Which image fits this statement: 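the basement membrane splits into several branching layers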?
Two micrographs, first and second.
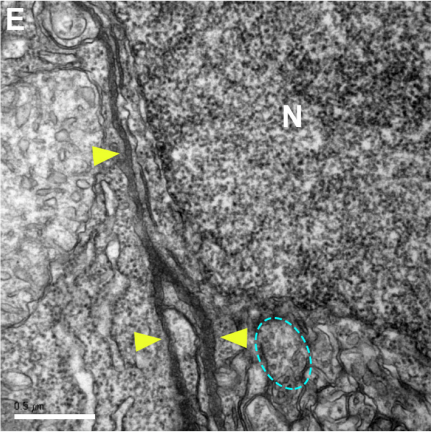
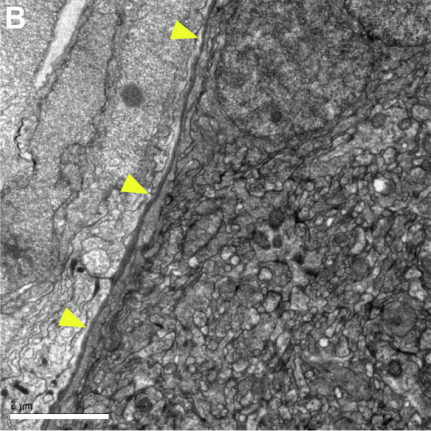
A: the first image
